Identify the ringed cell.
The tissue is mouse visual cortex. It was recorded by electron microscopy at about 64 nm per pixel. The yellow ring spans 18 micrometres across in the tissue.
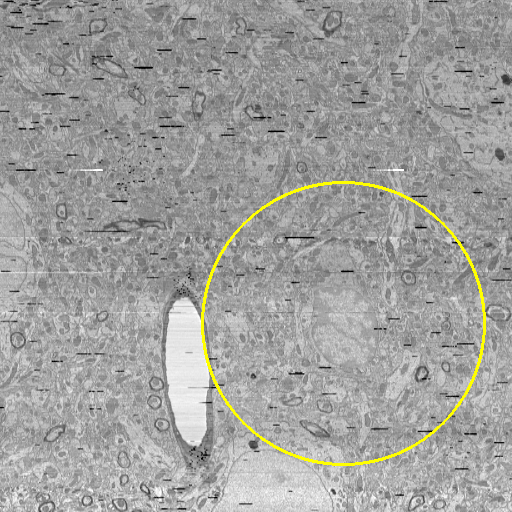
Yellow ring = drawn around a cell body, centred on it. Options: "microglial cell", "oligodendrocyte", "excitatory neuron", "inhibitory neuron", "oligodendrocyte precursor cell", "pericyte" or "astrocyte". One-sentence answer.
What the ring is centred on is an oligodendrocyte.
